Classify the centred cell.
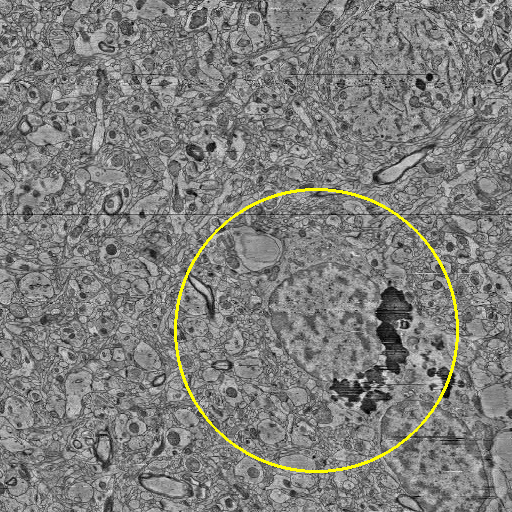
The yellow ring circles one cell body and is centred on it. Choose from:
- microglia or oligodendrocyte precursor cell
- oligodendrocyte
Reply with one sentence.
The ring is centred on an oligodendrocyte.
